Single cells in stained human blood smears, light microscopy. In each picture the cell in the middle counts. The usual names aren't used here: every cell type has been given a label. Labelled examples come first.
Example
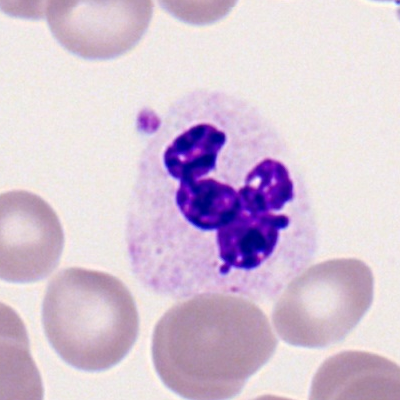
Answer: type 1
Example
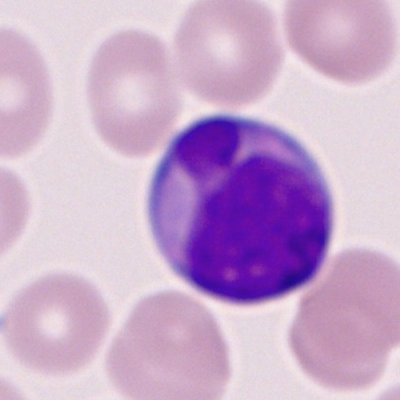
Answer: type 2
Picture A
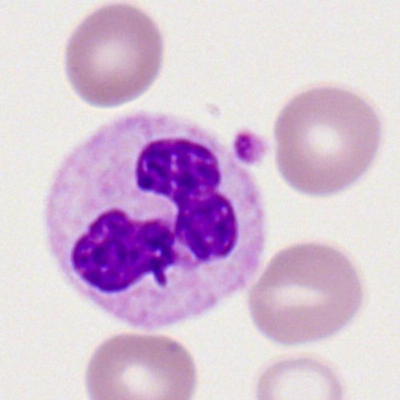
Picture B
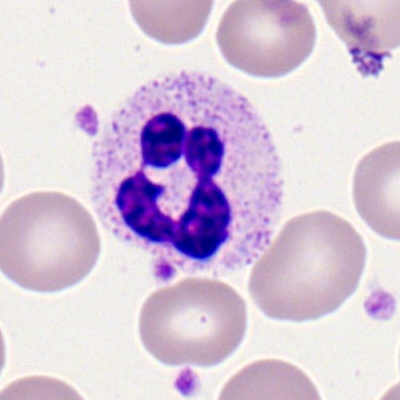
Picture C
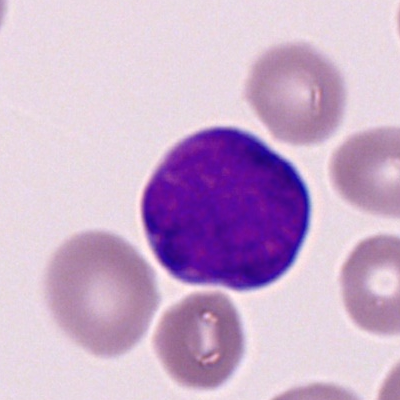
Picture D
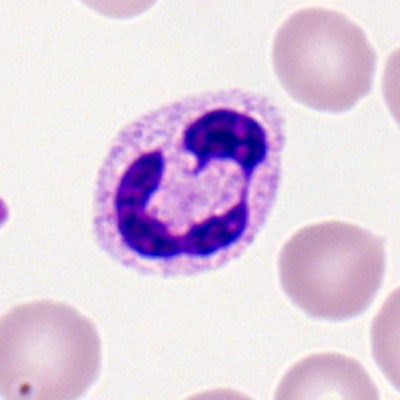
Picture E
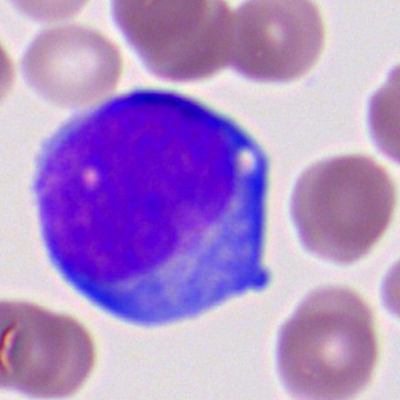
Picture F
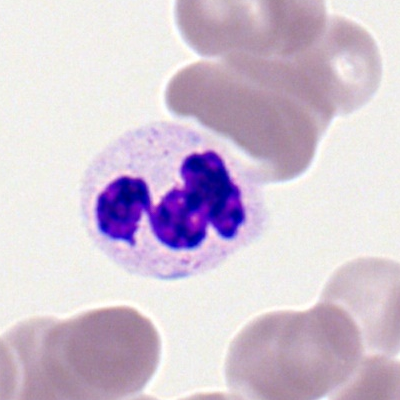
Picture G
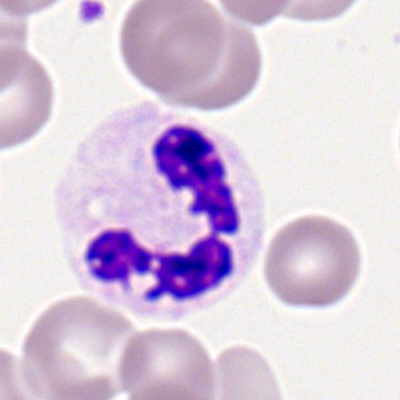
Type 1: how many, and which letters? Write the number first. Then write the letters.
5, namely A, B, D, F, G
